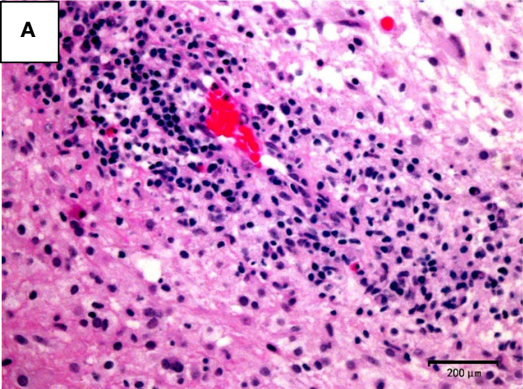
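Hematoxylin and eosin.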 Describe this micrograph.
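A vessel with hemorrhage and a perivascular inflammatory cuff runs through pink tissue. Bright red blood cells collect in the vessel and spill beside it. A dense band of small cells with round, dark purple nuclei and scant cytoplasm surrounds the vessel. Away from the cuff, the pink, somewhat vacuolated tissue holds scattered larger, paler nuclei.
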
